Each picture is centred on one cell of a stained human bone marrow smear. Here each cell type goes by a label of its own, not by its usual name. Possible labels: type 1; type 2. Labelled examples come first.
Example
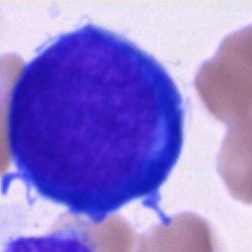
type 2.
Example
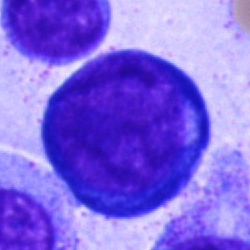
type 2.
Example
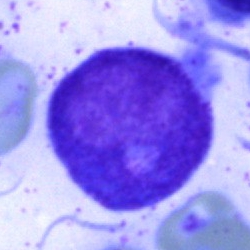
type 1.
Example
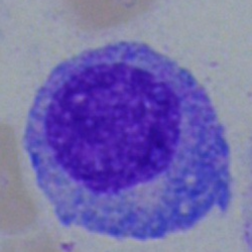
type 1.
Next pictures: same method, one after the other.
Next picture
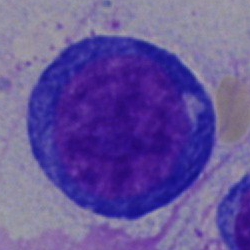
type 2.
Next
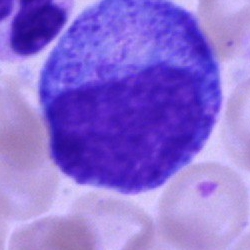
type 1.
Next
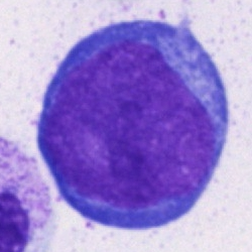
type 2.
